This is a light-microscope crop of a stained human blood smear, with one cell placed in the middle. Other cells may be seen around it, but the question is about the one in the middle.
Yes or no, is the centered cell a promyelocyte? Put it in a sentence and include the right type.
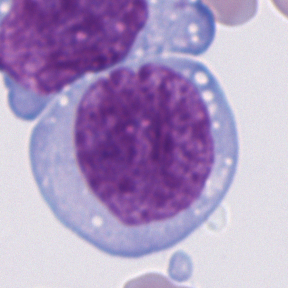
No, at the centre of this crop is found a myeloblast instead of a promyelocyte.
